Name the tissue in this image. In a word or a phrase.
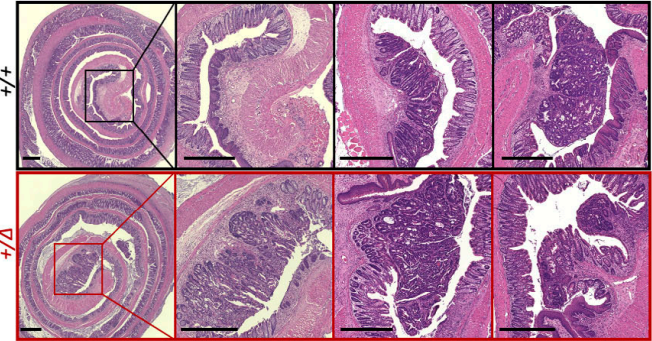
colons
